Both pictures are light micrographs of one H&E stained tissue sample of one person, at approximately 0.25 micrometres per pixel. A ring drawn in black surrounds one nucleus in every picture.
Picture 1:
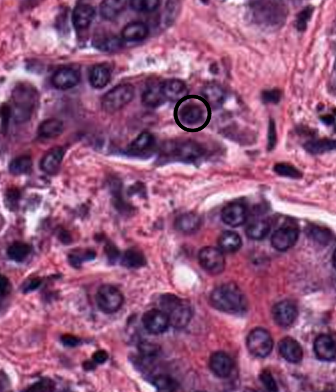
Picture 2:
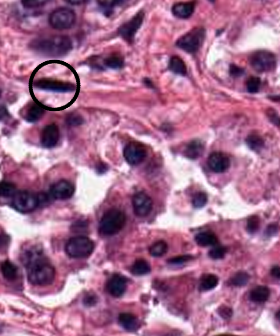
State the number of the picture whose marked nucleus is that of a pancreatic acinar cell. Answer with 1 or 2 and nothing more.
1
